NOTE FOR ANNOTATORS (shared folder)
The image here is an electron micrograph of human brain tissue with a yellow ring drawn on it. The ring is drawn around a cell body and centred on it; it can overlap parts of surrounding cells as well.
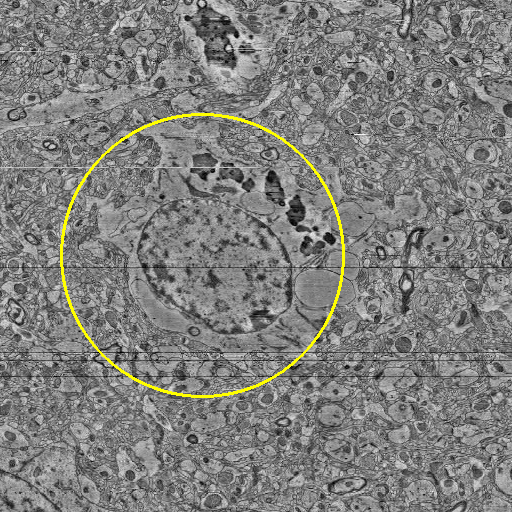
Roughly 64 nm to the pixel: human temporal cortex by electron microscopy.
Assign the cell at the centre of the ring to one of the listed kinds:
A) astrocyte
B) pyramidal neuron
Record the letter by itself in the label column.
A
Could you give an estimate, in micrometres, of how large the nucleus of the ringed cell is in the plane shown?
In this plane, the nucleus is roughly 11 by 8 micrometres.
